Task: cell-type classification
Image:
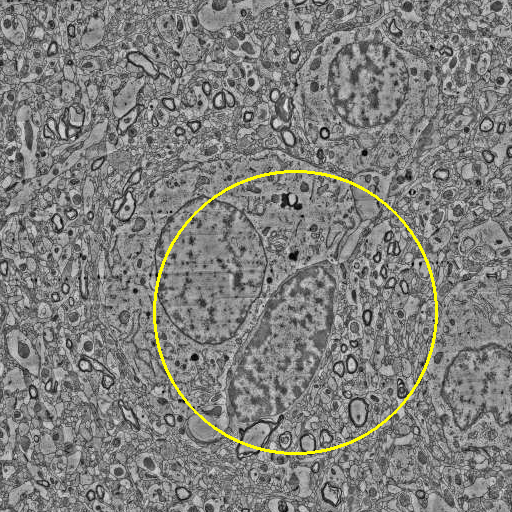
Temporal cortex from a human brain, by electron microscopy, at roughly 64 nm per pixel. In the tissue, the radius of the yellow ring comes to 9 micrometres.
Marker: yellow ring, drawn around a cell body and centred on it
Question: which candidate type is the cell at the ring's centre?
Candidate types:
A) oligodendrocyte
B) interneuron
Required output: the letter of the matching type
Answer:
A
